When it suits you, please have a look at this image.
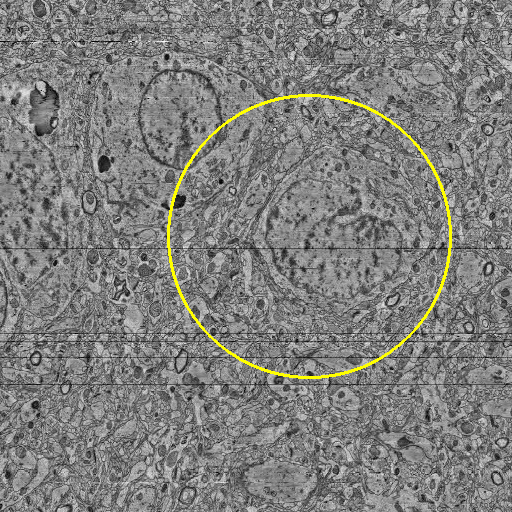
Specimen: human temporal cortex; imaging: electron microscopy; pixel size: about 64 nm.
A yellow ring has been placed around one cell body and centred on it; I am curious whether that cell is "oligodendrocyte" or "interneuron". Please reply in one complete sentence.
The ringed cell, an interneuron, has its body at the centre of the yellow ring.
